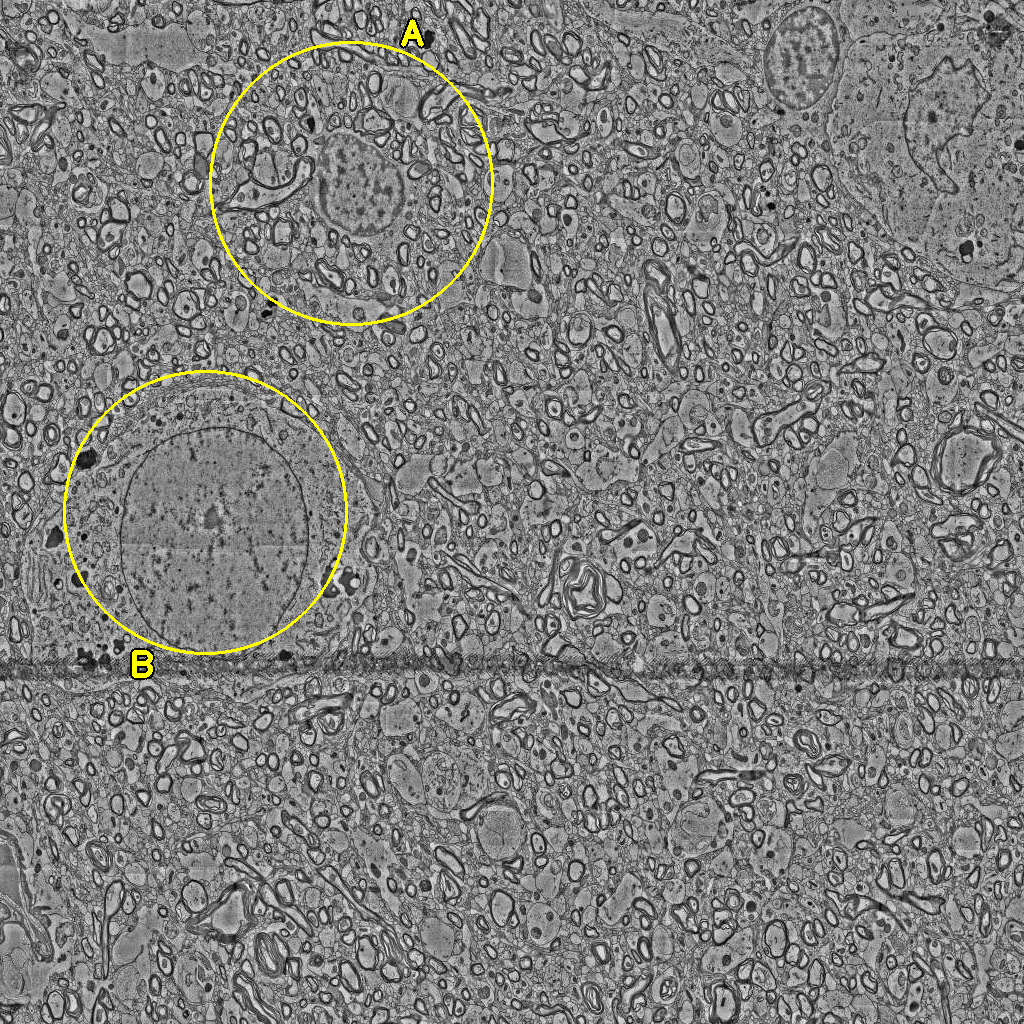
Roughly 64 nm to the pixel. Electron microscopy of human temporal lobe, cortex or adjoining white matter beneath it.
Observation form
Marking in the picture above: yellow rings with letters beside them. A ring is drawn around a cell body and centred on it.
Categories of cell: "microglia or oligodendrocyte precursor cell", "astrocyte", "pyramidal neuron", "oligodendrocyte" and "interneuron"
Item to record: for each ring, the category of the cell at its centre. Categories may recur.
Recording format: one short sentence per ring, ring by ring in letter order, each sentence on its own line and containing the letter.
Ring A is placed on an oligodendrocyte.
Ring B is placed on a pyramidal neuron.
